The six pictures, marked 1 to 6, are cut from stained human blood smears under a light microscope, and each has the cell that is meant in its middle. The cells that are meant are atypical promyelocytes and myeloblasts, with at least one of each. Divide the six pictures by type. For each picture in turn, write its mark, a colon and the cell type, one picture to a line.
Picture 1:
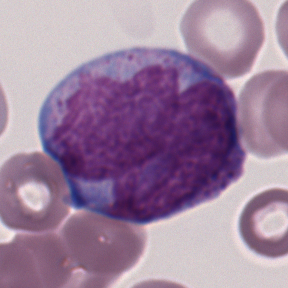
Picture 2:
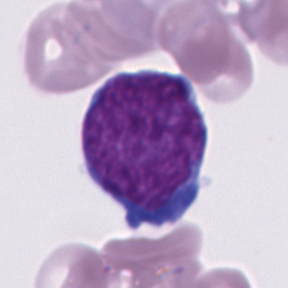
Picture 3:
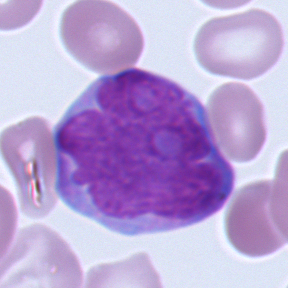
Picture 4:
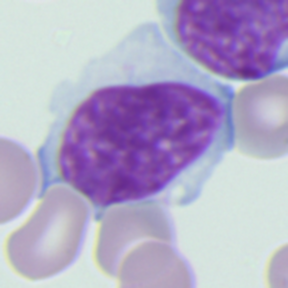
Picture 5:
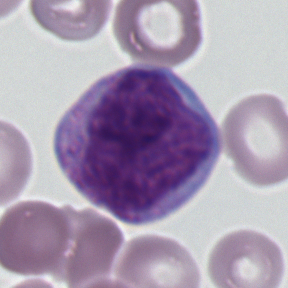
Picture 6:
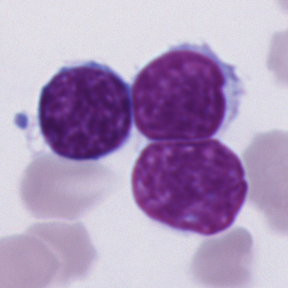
1: atypical promyelocyte
2: myeloblast
3: atypical promyelocyte
4: myeloblast
5: atypical promyelocyte
6: myeloblast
